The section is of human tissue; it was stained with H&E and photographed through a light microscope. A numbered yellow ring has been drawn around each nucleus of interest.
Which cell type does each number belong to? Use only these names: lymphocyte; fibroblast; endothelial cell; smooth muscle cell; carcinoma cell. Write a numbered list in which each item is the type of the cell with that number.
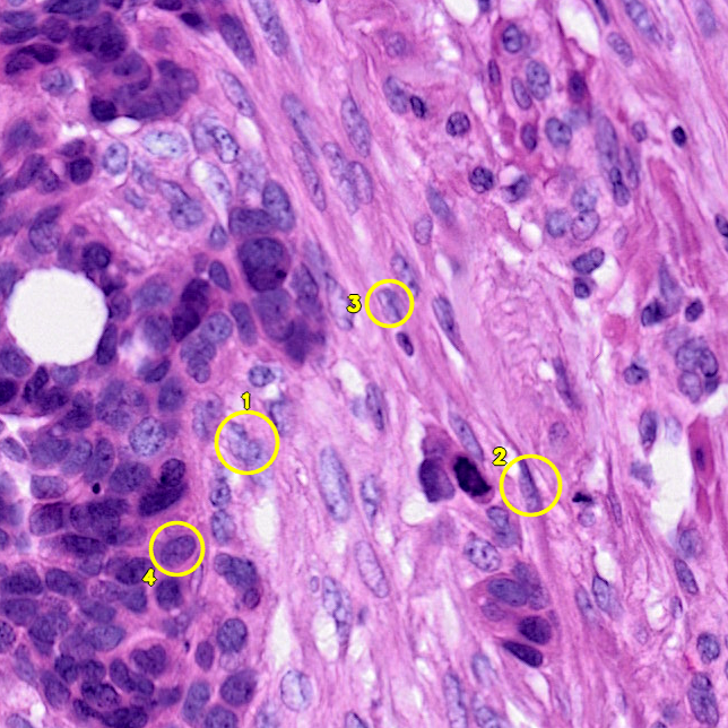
1. fibroblast
2. fibroblast
3. fibroblast
4. carcinoma cell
